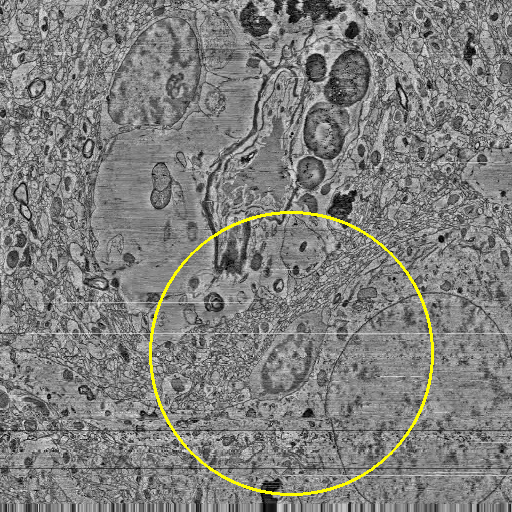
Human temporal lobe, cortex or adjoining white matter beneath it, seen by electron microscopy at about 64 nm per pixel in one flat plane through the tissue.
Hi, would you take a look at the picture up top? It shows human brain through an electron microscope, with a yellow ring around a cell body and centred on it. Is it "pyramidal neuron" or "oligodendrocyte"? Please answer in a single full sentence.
The best fit for the cell in the middle of the ring is an oligodendrocyte, I reckon.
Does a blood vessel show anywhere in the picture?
Yes, a vessel appears in the picture.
